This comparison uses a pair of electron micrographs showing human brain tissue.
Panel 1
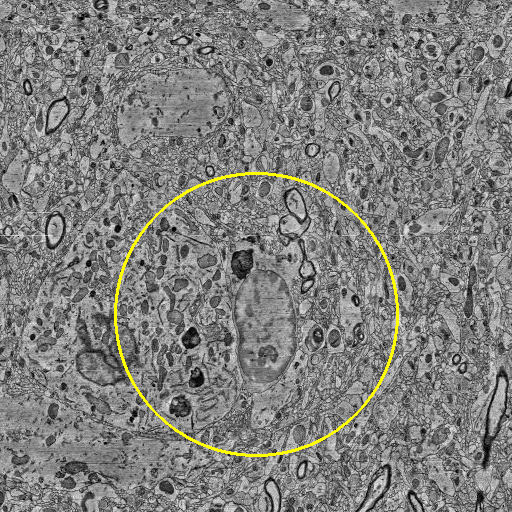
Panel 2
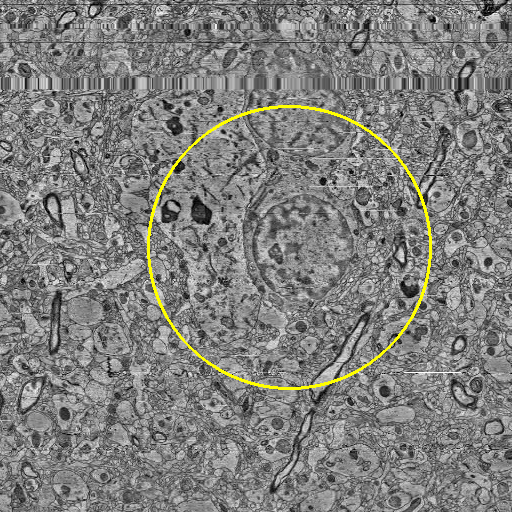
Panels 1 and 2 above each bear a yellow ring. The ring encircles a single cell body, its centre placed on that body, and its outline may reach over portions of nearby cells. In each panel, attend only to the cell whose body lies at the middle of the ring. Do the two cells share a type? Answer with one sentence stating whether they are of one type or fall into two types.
In Panel 1 and Panel 2, the cells at the centres of the rings are of one type.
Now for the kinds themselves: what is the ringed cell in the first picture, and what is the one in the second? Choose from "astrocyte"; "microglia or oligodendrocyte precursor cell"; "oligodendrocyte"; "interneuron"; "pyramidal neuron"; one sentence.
Both pictures show an oligodendrocyte at the centre of the ring.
